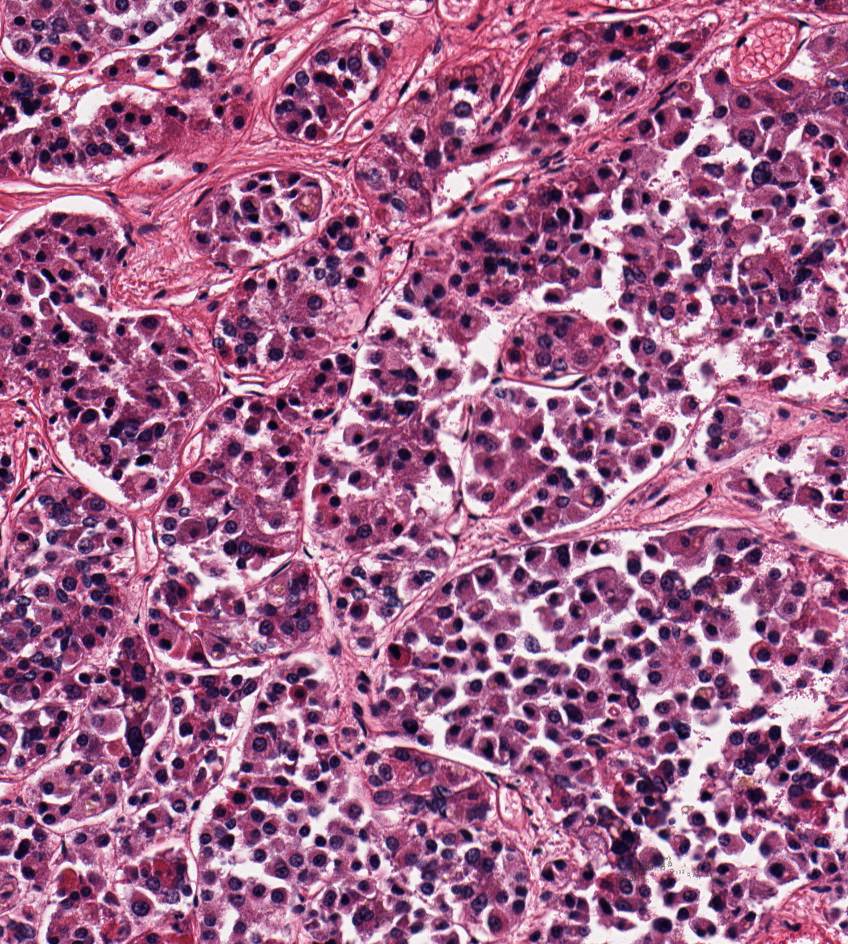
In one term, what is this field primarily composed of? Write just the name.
pars distalis of the pituitary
